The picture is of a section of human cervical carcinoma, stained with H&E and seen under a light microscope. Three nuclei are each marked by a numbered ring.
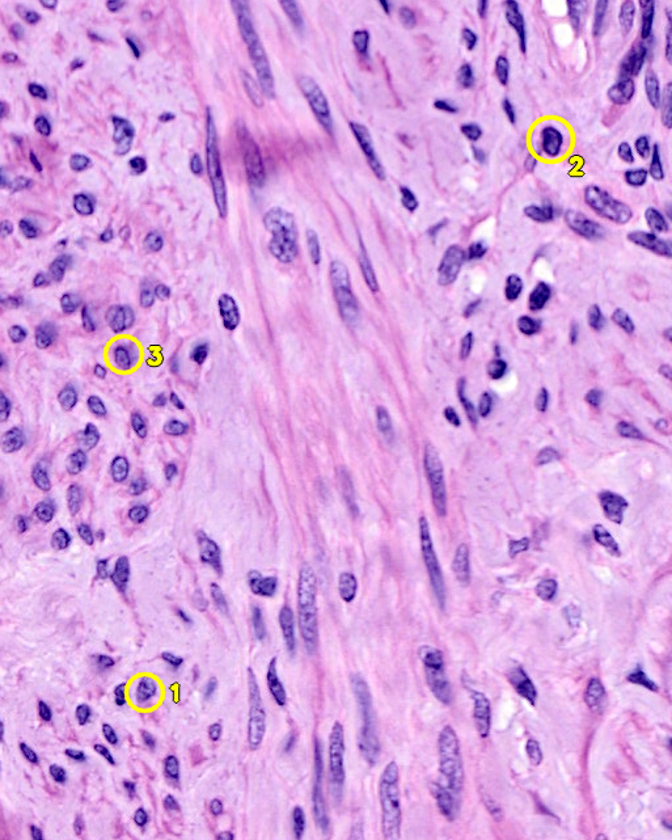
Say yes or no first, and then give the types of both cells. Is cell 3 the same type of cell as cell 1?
Yes, cells 3 and 1 are, both of them, smooth muscle cells.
